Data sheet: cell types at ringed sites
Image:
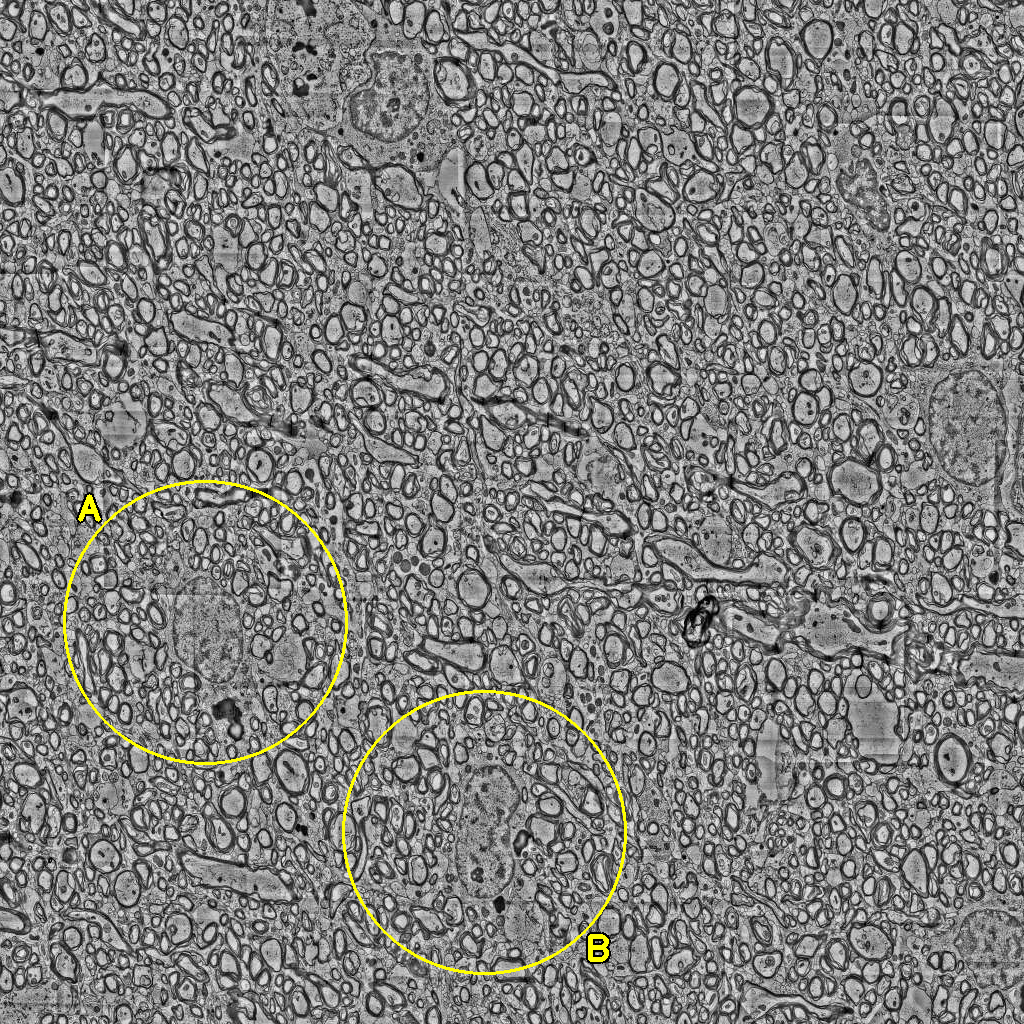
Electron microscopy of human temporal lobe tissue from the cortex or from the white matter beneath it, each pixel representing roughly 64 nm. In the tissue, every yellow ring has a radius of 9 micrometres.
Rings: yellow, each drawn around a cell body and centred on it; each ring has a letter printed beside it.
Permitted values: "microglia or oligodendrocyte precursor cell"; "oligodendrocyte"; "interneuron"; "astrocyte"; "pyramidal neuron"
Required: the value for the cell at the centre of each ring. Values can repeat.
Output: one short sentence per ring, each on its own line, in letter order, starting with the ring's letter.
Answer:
Ring A has an oligodendrocyte at its centre.
Ring B has an oligodendrocyte at its centre.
